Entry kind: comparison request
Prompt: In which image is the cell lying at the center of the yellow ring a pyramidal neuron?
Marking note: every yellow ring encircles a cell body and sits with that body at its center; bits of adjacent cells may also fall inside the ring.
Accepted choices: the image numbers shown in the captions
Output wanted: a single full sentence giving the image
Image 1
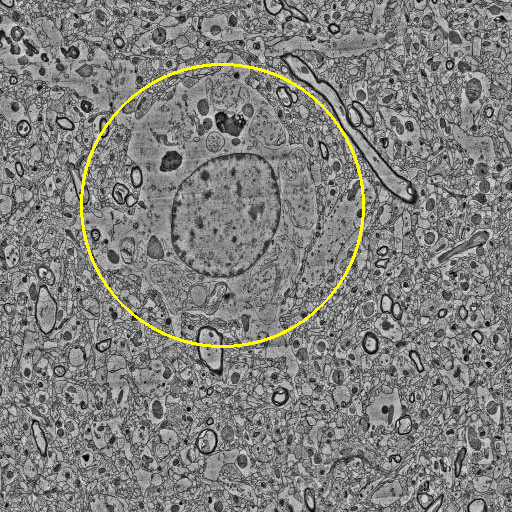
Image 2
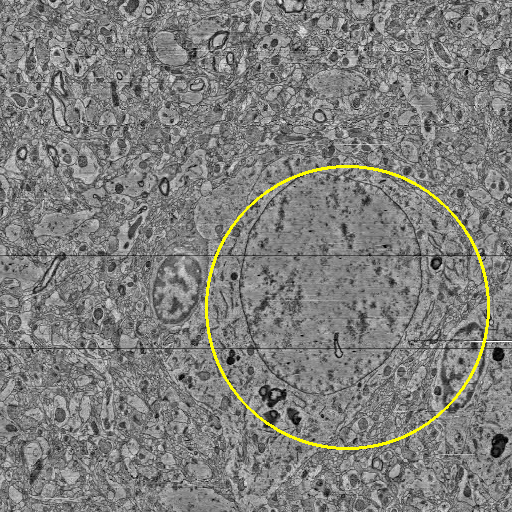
In image 2, the ringed cell at the center matches the prompt.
